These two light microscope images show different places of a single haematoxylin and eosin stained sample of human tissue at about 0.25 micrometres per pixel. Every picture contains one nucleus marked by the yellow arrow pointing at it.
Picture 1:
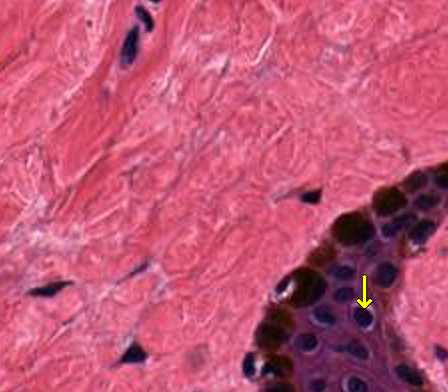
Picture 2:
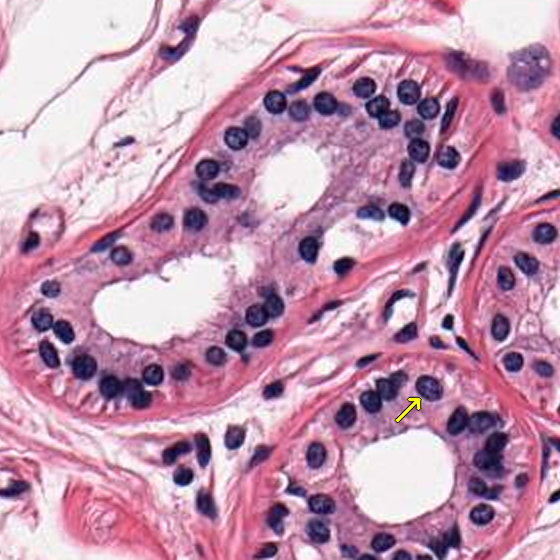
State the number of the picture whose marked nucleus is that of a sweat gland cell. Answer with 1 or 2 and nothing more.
2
